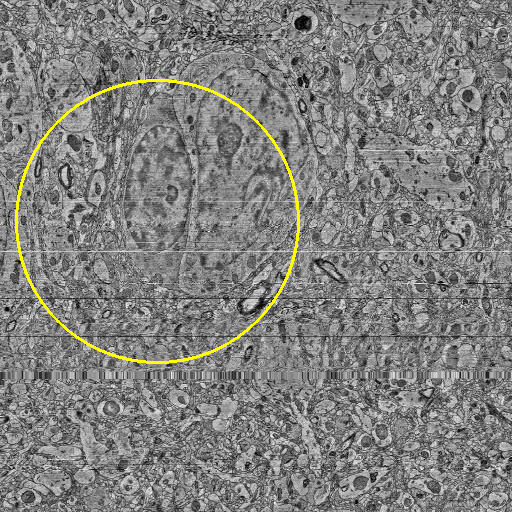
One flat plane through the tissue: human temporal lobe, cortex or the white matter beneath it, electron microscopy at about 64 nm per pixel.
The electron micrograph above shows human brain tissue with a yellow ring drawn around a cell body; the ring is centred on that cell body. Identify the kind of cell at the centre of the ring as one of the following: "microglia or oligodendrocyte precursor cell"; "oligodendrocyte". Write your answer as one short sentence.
The cell at the centre of the ring is an oligodendrocyte.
